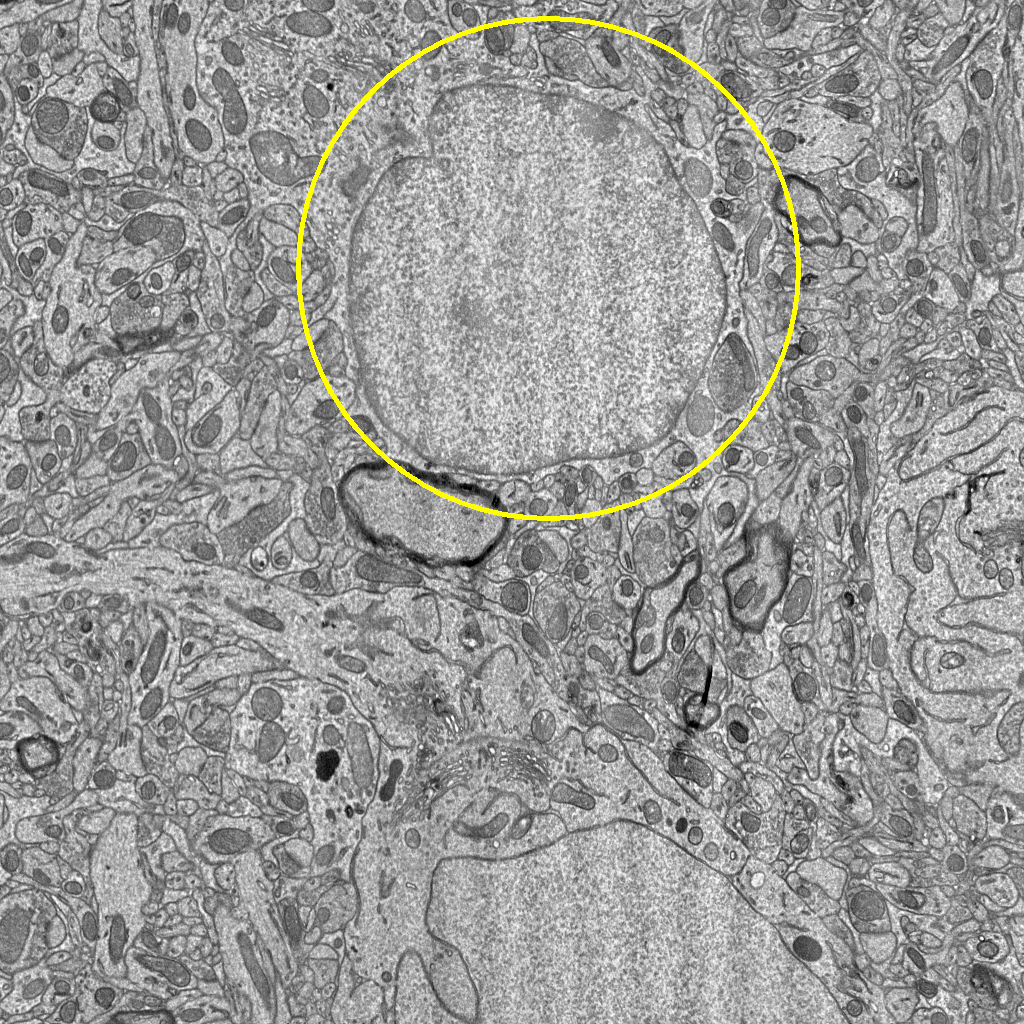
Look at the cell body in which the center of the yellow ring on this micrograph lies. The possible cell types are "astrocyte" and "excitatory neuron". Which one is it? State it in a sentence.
The cell at the middle of the ring is an astrocyte.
